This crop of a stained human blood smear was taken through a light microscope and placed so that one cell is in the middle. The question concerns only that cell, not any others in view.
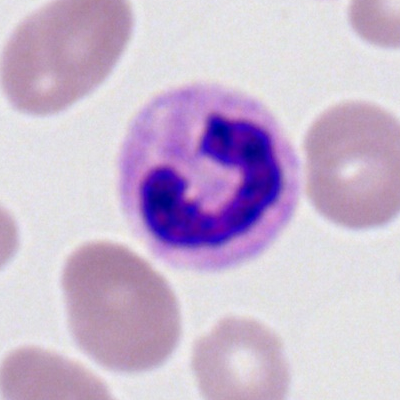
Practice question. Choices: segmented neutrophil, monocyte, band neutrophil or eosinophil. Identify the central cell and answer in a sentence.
The middle of this crop holds a band neutrophil.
